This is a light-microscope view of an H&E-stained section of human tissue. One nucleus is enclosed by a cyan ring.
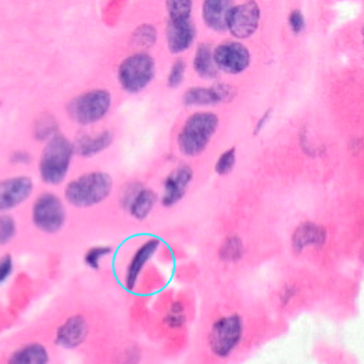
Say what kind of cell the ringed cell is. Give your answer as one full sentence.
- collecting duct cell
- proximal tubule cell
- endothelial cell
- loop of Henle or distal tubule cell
The cell type represented by the ringed cell is that of an endothelial cell.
